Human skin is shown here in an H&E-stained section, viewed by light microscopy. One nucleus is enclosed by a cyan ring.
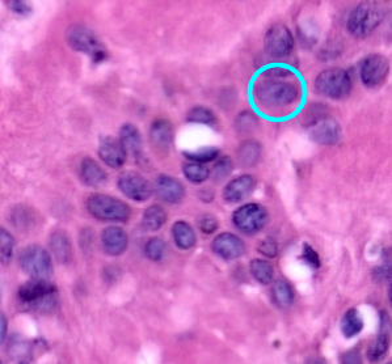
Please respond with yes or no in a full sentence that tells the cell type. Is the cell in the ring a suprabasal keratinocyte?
No, kindly revise that, as the cell in the ring is a basal keratinocyte rather than a suprabasal keratinocyte.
